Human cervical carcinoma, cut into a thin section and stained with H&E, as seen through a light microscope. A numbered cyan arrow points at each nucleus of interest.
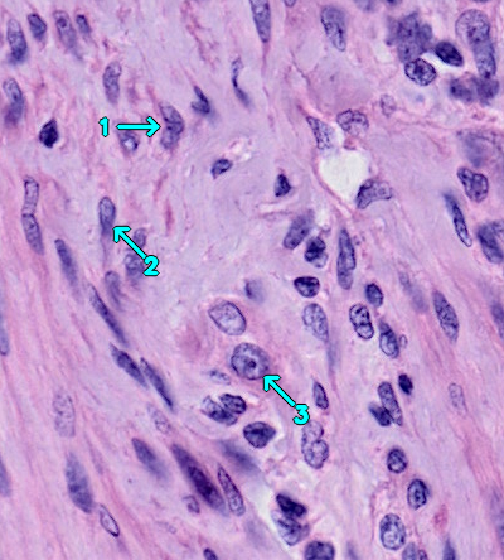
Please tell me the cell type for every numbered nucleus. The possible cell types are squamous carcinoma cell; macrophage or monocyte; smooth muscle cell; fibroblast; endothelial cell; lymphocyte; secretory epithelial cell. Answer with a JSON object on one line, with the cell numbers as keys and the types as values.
{"1": "smooth muscle cell", "2": "smooth muscle cell", "3": "endothelial cell"}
